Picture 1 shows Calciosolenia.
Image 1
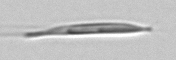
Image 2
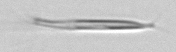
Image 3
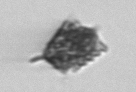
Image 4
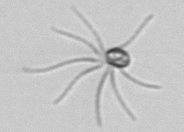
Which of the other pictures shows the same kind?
Picture 2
